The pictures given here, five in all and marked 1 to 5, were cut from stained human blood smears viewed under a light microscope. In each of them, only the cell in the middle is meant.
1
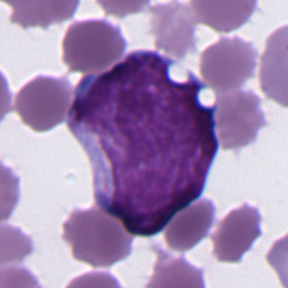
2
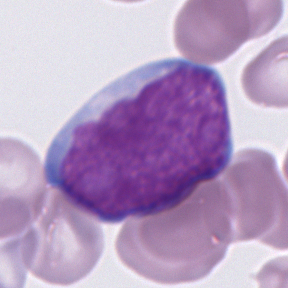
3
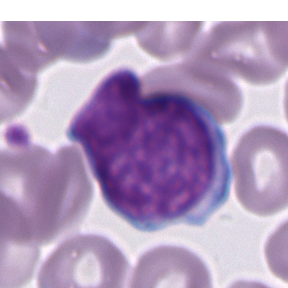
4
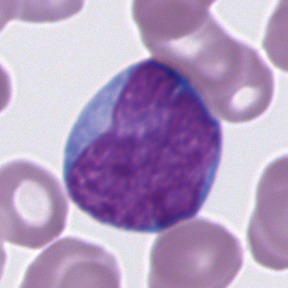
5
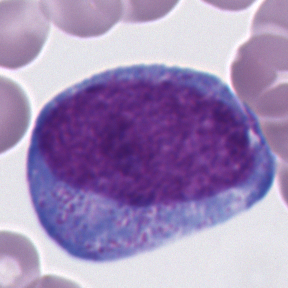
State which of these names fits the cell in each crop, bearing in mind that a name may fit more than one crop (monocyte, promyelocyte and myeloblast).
1: myeloblast
2: myeloblast
3: myeloblast
4: myeloblast
5: promyelocyte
